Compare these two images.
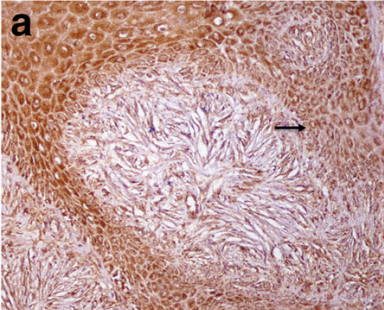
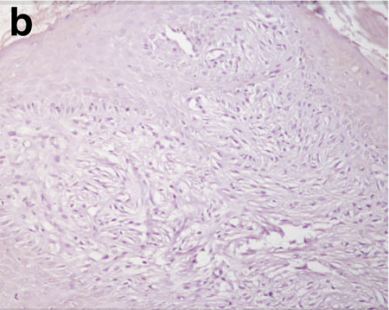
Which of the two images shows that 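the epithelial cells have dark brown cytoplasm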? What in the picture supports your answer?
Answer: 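The first image. Second image: epithelium and stroma are pale lilac with no brown. First image: the epithelial layer is densely brown around a paler stromal core.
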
